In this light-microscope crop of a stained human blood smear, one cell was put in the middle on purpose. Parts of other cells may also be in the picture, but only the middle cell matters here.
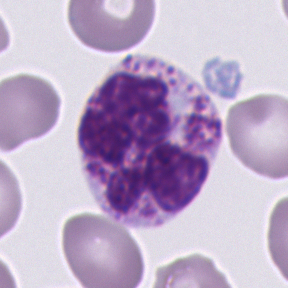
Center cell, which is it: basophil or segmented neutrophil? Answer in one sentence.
Looking at the middle of the crop, the cell there is a basophil.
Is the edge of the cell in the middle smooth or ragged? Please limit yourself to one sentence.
From every side, the cell boundary is smooth and free of projections.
